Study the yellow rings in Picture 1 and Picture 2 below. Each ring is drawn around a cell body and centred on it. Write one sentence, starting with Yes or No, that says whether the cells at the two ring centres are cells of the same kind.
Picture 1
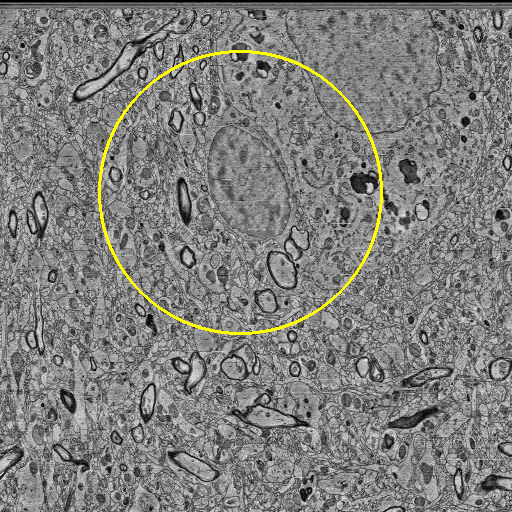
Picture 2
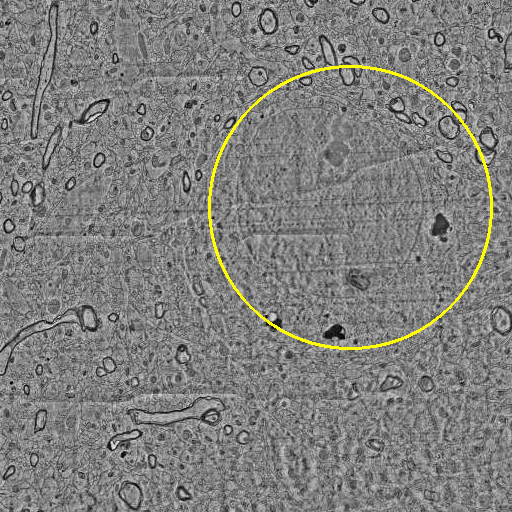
No, the cells at the ring centres are of two kinds.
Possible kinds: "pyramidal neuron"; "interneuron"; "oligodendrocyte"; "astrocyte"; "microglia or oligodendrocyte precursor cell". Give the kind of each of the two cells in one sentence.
The cell in the second picture is a pyramidal neuron, and that in the first is an oligodendrocyte.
